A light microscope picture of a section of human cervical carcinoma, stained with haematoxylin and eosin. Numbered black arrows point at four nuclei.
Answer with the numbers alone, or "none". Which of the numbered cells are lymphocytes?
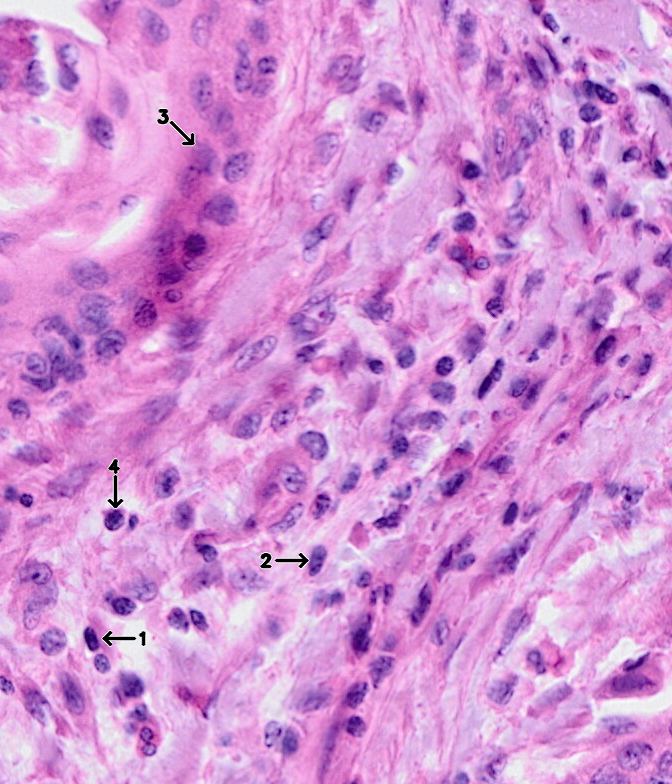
1, 2, 4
